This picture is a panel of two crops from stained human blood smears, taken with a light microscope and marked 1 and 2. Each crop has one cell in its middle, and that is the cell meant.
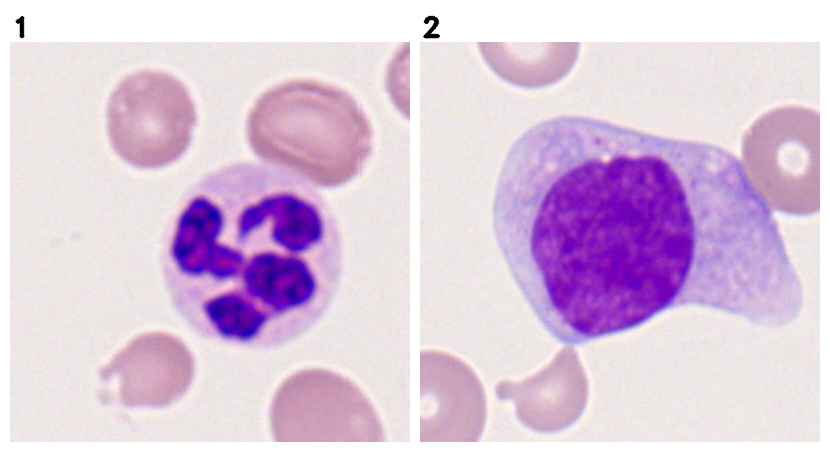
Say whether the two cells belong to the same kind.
no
